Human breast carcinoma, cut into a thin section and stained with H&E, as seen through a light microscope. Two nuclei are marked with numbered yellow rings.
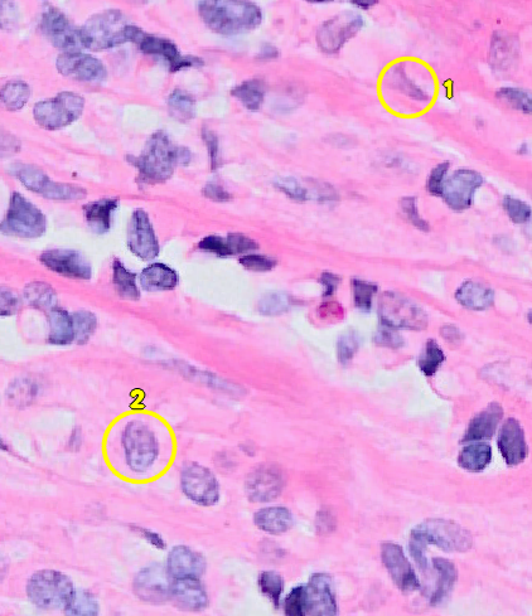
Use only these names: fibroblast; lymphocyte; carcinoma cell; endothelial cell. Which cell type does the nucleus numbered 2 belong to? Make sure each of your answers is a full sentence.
Among the marked cells, number 2 is a carcinoma cell.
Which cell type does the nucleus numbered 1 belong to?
As for number 1, that cell is a fibroblast.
